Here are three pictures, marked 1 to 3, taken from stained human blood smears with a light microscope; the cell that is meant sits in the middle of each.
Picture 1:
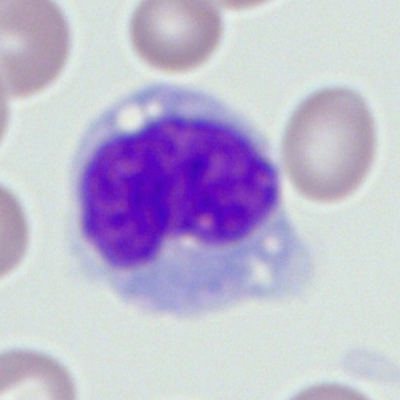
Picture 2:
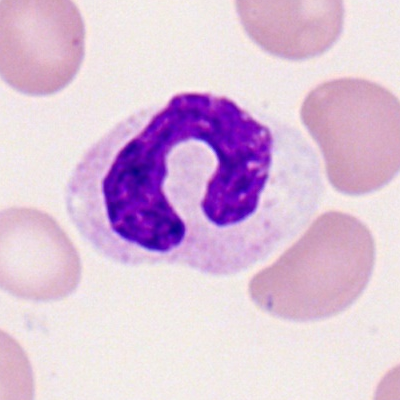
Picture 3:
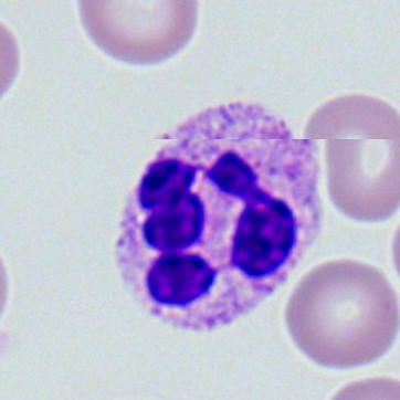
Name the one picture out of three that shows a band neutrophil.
2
